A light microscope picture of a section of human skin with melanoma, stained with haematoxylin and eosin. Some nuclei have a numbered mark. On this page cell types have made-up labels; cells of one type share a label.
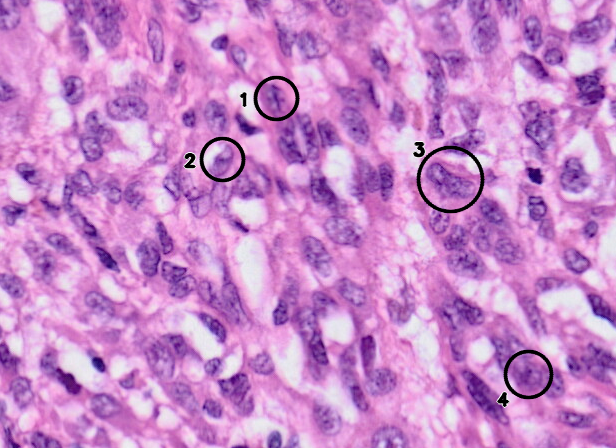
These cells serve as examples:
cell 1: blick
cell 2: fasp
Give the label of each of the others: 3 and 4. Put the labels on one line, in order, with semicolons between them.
fasp; fasp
